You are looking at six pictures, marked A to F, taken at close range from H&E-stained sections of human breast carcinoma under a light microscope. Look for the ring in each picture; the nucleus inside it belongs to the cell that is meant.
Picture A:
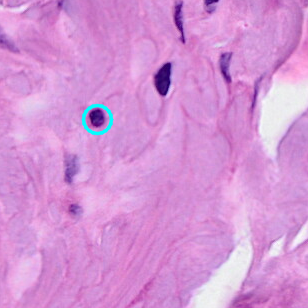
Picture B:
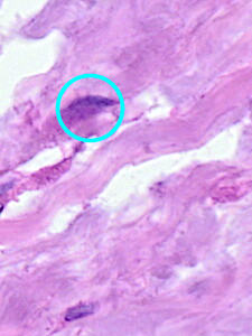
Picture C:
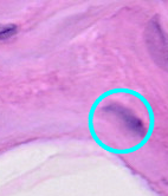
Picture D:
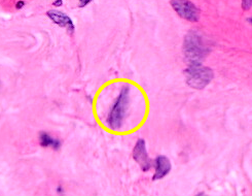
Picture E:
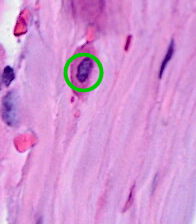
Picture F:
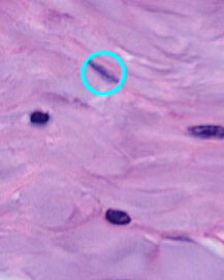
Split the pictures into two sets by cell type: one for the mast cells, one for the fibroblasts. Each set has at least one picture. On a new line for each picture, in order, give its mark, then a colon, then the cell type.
A: mast cell
B: fibroblast
C: fibroblast
D: fibroblast
E: mast cell
F: fibroblast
